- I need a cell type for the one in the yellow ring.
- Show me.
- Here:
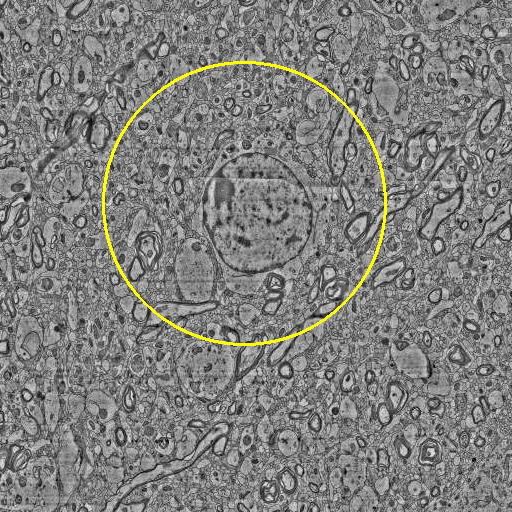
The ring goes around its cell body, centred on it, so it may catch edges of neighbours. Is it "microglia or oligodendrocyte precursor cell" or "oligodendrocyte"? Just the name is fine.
microglia or oligodendrocyte precursor cell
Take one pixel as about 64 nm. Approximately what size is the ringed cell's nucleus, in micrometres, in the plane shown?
The ringed cell's nucleus is about 7 micrometres across in this plane.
